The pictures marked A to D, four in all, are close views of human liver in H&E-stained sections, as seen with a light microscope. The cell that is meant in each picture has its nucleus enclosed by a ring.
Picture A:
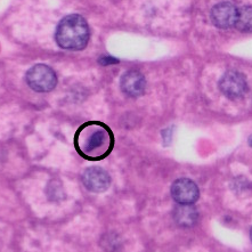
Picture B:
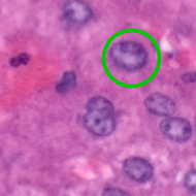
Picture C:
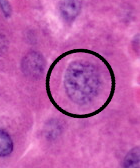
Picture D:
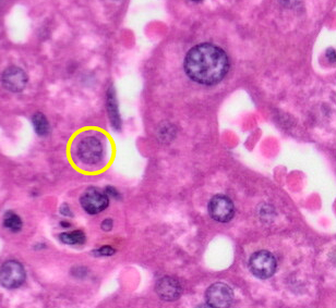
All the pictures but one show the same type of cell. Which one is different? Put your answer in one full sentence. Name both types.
All pictures except A show hepatocytes; picture A shows a “fibroblast or stellate cell”.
